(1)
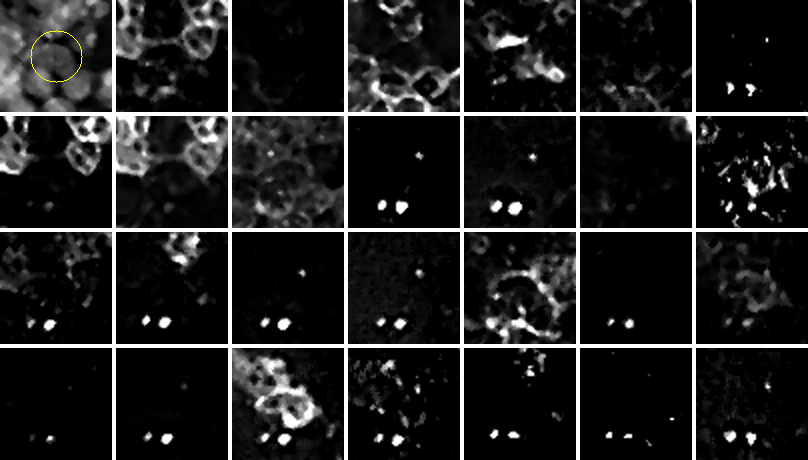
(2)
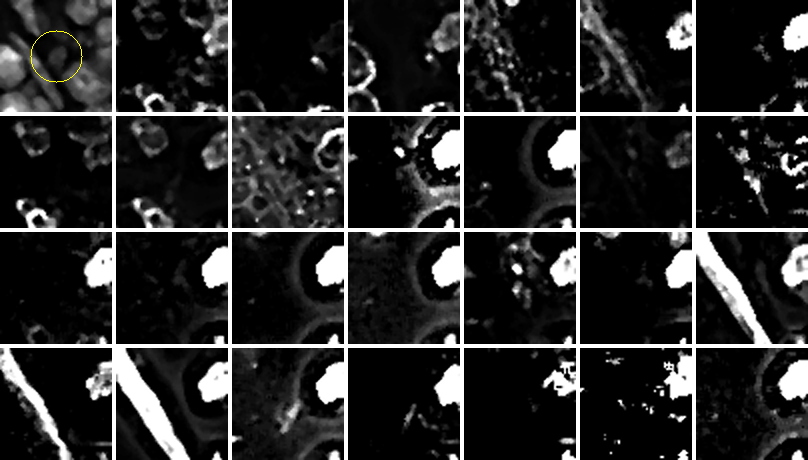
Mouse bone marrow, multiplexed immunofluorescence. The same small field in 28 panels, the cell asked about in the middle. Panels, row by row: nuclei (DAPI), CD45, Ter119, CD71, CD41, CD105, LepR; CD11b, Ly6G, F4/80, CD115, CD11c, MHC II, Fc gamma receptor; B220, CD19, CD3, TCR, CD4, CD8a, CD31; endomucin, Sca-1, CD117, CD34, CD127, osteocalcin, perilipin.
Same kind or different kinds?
Same: granulocyte-monocyte progenitors.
